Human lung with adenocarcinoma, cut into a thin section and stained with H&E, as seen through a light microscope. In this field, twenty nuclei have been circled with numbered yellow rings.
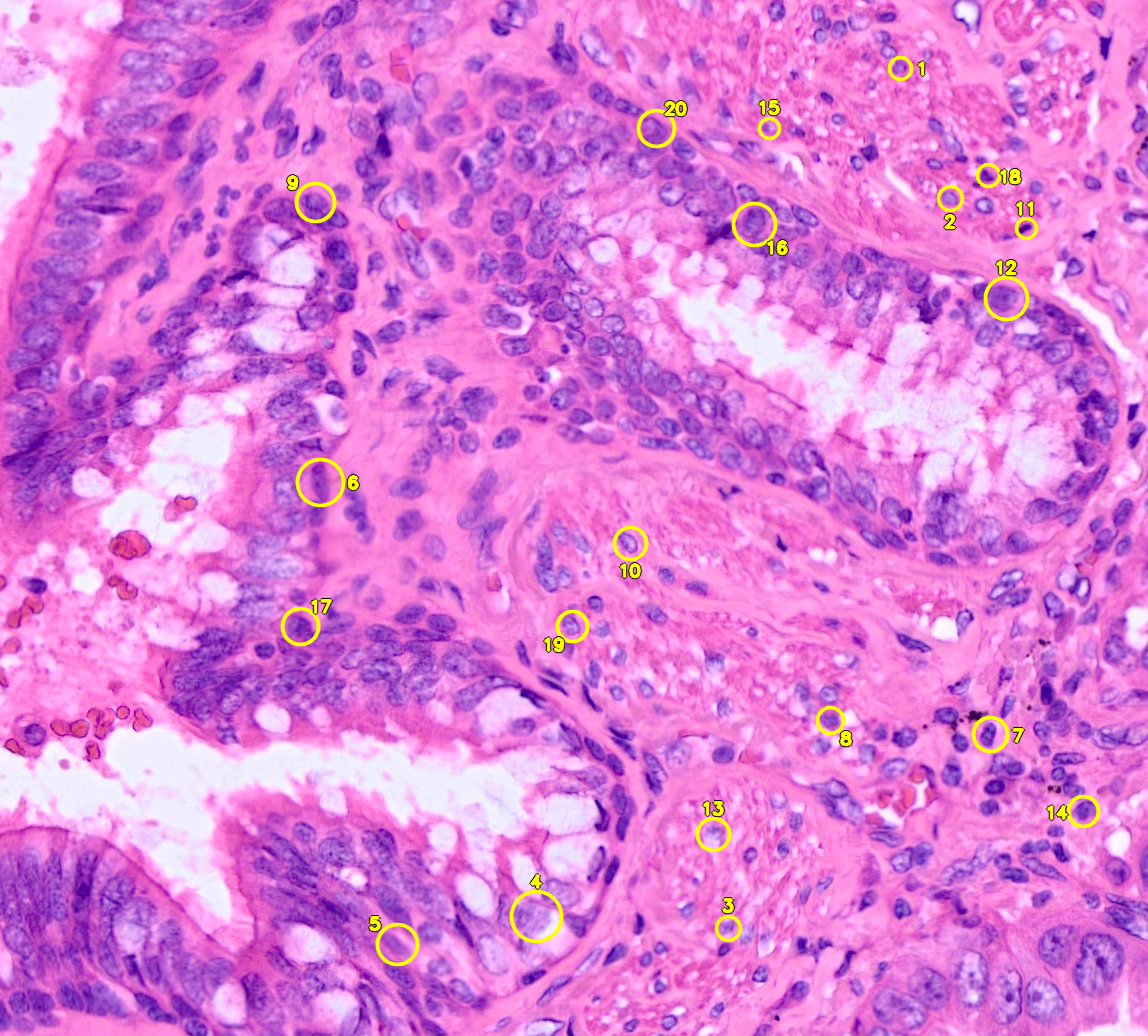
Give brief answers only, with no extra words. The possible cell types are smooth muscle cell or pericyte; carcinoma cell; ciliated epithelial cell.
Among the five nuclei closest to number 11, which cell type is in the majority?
smooth muscle cell or pericyte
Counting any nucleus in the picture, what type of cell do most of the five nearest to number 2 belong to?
smooth muscle cell or pericyte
